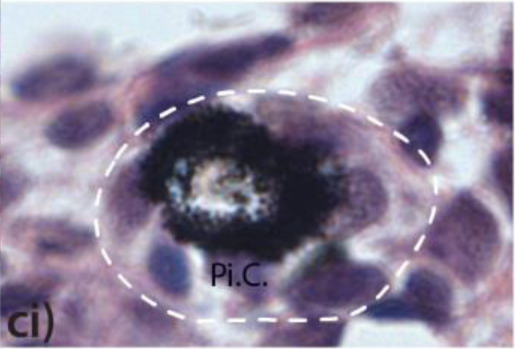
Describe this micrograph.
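Dense black pigment granules form a thick ring-like mass around a pale central space. Cells with oval purple nuclei lie around the pigment mass, inside the dashed outline. The surrounding tissue shows closely packed purple nuclei in pale pink cytoplasm.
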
